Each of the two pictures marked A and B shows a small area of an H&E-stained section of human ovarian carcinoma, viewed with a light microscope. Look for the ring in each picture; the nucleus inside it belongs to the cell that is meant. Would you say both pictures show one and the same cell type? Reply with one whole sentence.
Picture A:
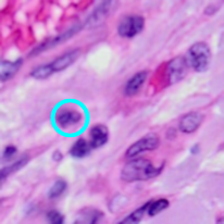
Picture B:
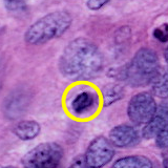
Yes, the two pictures both show lymphocytes.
